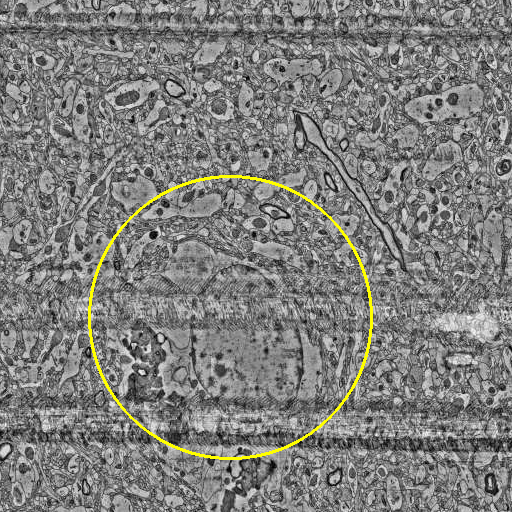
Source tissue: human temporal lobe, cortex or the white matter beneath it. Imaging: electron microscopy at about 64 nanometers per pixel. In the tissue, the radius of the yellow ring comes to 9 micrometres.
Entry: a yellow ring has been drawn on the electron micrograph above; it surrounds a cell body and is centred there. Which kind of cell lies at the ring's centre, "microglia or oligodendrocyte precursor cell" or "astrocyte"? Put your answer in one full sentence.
The cell sitting at the ring's centre is an astrocyte in the micrograph above.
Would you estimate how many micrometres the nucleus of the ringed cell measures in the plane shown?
In this plane, about 10 micrometres in length and 7 in width.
